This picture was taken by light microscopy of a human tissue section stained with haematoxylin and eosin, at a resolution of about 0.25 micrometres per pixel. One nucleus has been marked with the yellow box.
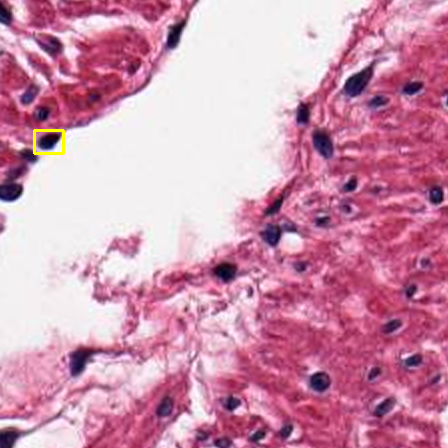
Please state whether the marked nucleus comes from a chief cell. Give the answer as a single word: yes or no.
no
